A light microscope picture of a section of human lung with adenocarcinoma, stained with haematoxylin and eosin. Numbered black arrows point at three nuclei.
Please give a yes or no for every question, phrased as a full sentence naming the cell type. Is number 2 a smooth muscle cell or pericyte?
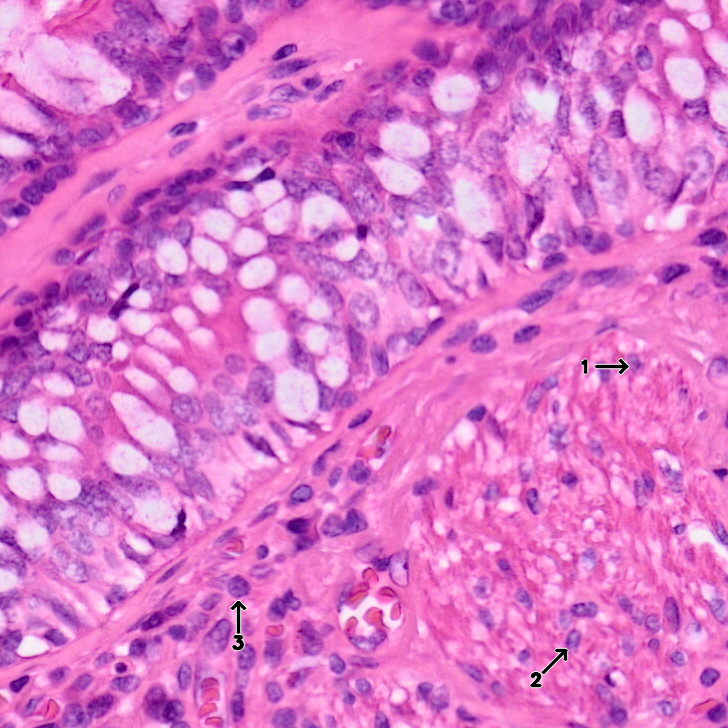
Yes, the cell carrying number 2 is a smooth muscle cell or pericyte.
